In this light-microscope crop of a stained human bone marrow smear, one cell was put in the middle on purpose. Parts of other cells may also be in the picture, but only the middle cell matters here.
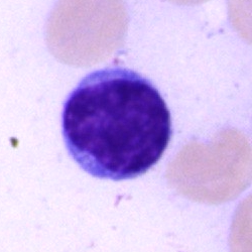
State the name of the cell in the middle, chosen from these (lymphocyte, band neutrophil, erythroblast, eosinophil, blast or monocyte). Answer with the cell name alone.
lymphocyte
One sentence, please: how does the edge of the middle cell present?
The membrane contour is even and smooth, with nothing projecting from it.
